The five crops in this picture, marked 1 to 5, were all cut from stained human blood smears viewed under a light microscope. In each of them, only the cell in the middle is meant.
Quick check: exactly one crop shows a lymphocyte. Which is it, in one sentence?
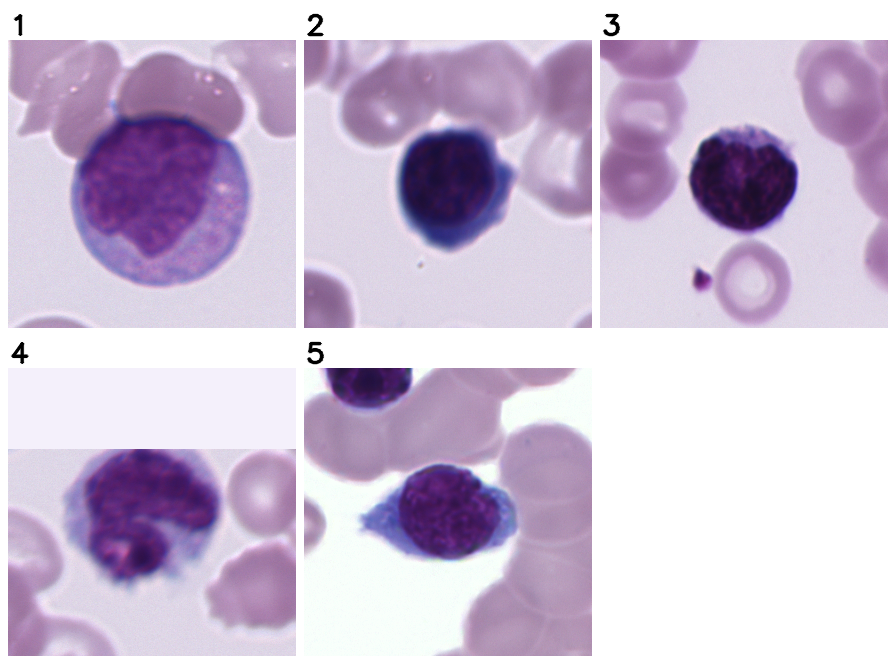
Crop 3 is the one in the set with a lymphocyte at the center.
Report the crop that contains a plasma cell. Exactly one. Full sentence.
The one crop that shows a plasma cell is crop 5.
